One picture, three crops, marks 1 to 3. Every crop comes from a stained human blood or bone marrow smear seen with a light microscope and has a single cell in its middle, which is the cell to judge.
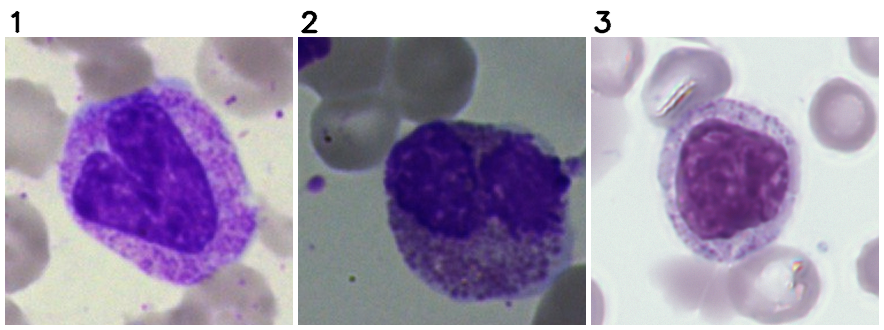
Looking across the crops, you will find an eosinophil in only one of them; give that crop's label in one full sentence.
In this series, an eosinophil is shown by crop 2.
